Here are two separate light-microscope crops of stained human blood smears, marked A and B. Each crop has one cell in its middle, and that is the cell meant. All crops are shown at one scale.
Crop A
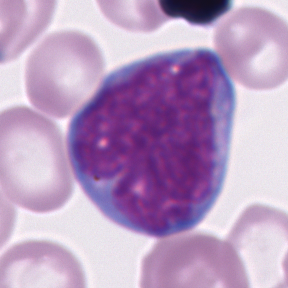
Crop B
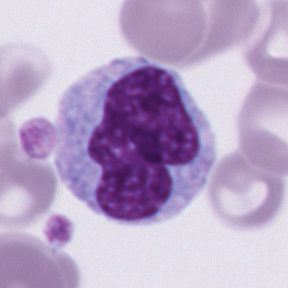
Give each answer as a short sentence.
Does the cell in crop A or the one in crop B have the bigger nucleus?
It is the nucleus in crop A, about 1.5 times as large in area as the one in crop B.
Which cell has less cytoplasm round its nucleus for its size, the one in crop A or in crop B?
It is the cell in crop A that is filled more by its nucleus.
